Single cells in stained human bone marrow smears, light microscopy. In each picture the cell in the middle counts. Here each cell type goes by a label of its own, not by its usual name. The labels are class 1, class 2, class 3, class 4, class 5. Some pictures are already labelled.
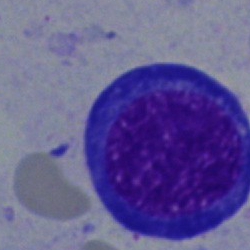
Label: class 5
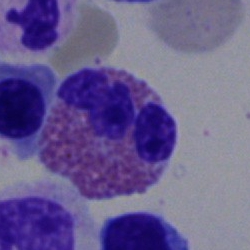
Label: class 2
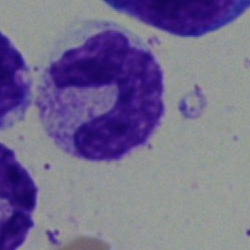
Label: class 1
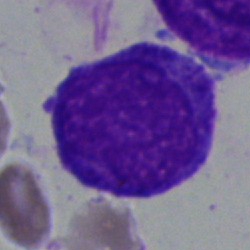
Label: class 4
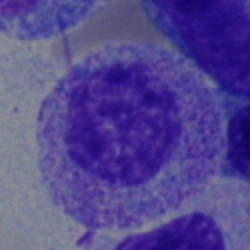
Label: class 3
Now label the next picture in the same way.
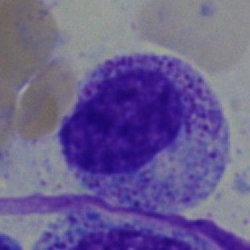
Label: class 3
